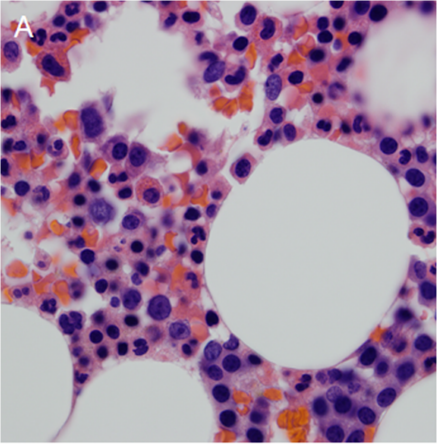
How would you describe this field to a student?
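This is a bone marrow section with hematopoietic tissue filling the spaces between large empty round fat cells. Many orange, non-nucleated red blood cells lie between the nucleated cells. The mixture of cell kinds, without one kind dominating, fits ordinary marrow.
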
